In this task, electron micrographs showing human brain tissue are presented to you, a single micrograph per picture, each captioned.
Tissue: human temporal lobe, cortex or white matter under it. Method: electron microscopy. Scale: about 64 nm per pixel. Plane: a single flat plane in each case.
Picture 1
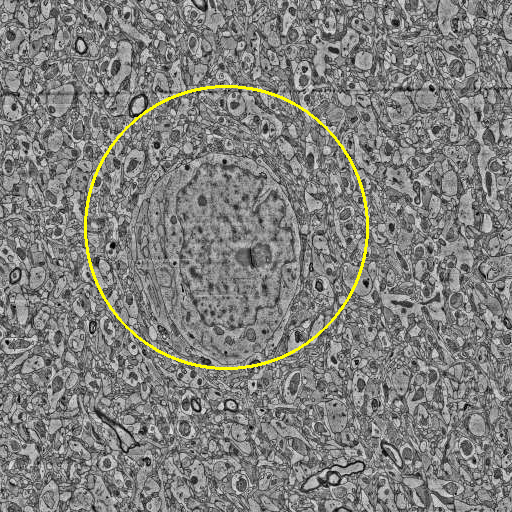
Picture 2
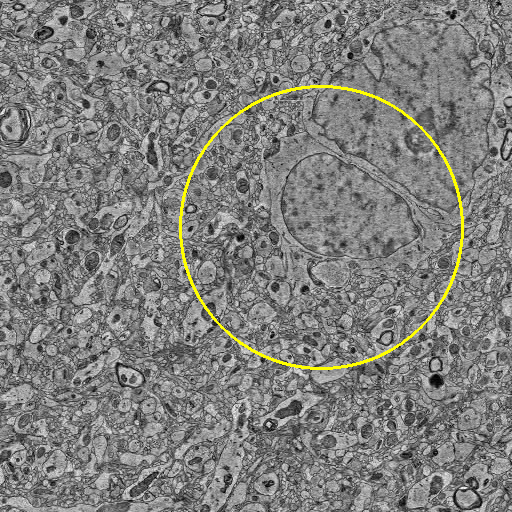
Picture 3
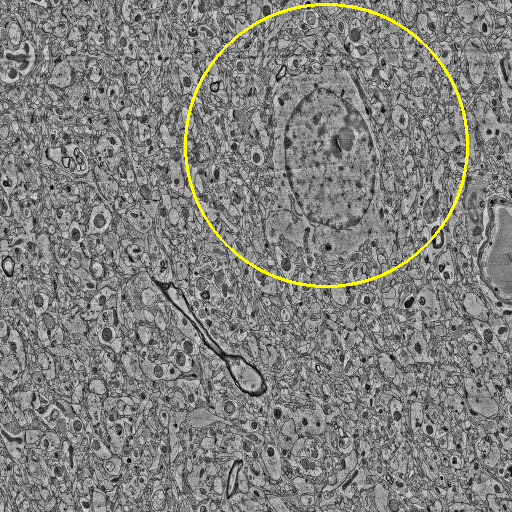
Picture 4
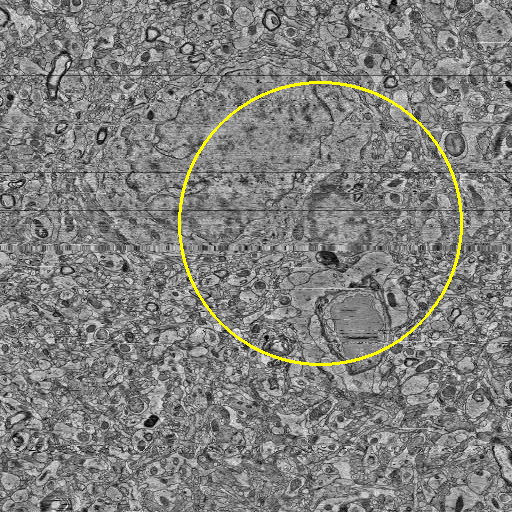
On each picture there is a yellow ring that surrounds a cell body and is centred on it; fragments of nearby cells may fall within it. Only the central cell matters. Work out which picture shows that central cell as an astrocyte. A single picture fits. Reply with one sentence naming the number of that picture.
Of all the pictures, number 3 has the right cell in the centre of its ring.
